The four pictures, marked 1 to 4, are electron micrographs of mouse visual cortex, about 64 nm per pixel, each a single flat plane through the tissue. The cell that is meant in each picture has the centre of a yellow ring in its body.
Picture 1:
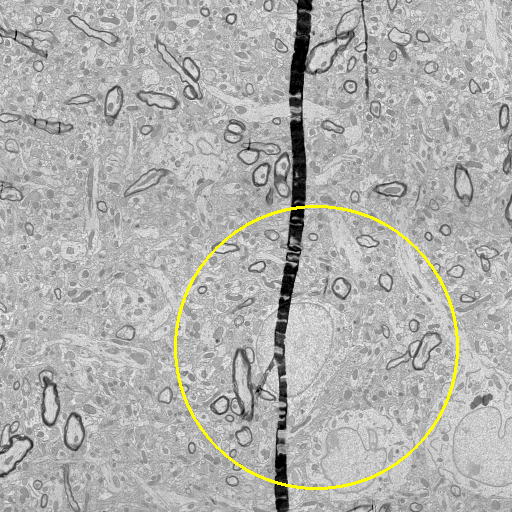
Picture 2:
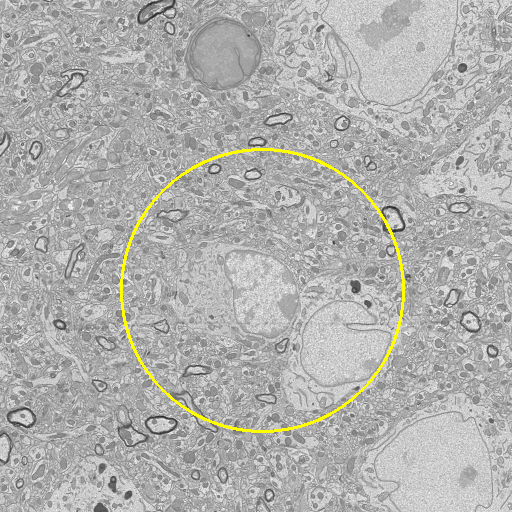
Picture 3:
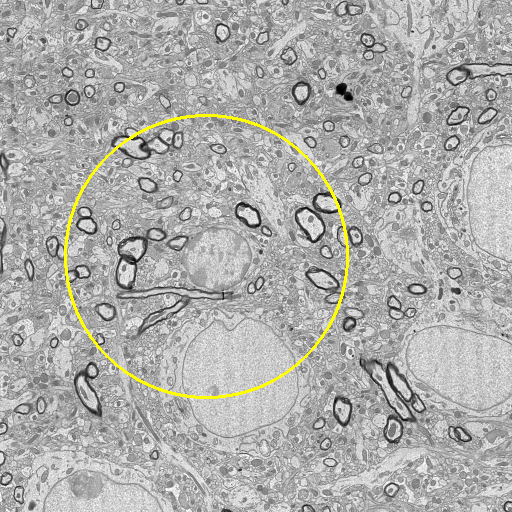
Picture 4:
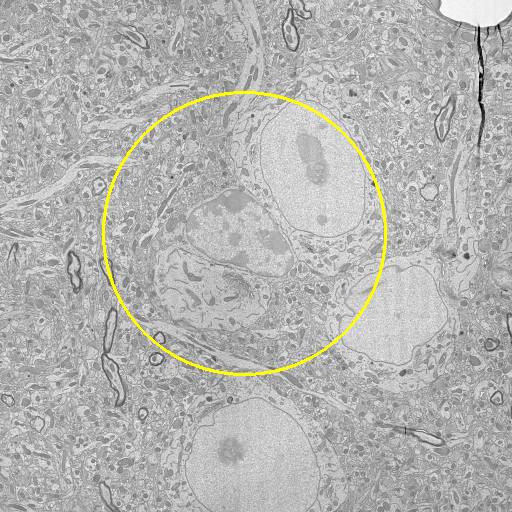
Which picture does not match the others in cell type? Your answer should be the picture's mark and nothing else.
1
